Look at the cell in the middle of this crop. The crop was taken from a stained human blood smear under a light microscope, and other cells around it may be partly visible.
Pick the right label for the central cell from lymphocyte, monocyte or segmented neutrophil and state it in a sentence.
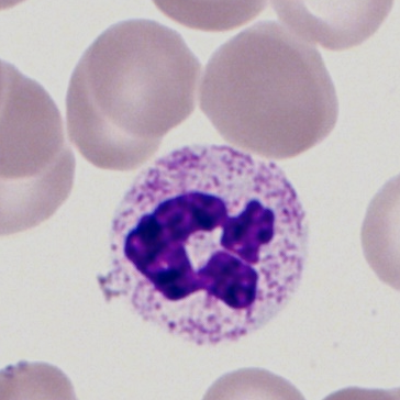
The cell in the exact centre of the crop is a segmented neutrophil.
